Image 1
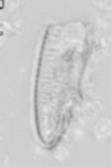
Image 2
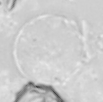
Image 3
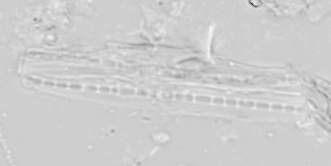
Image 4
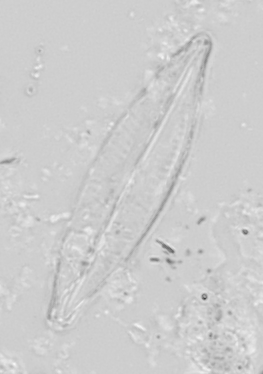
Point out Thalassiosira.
That is picture 2.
